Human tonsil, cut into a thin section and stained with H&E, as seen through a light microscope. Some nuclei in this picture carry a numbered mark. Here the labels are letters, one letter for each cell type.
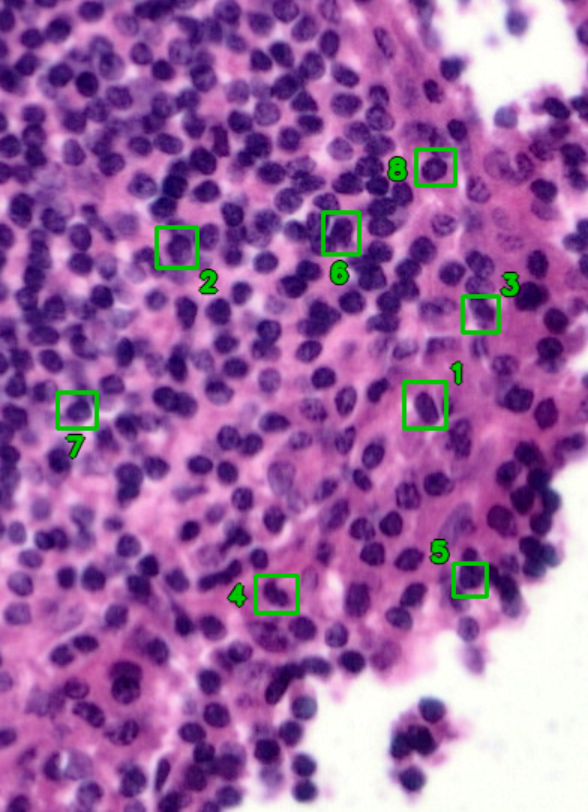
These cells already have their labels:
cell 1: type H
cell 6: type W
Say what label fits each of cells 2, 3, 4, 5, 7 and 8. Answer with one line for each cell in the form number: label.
2: type W
3: type H
4: type H
5: type W
7: type W
8: type H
